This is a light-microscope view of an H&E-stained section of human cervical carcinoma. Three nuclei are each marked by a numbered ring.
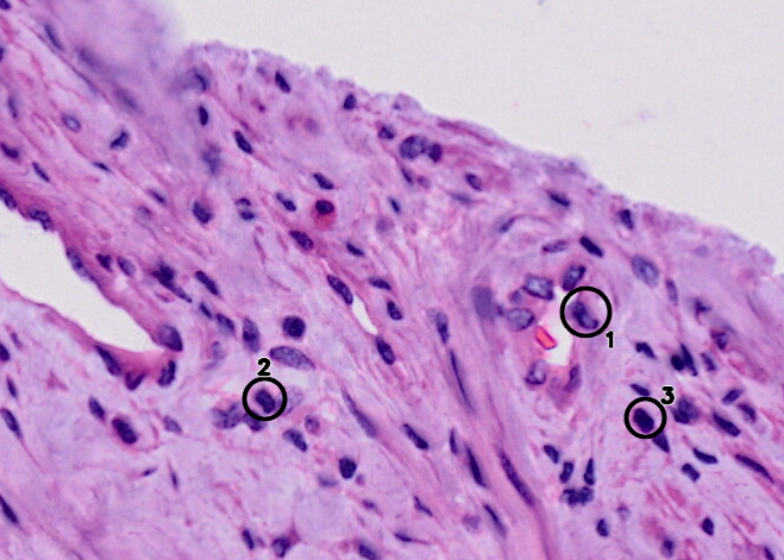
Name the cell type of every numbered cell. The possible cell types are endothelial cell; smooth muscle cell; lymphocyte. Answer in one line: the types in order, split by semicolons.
endothelial cell; lymphocyte; lymphocyte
